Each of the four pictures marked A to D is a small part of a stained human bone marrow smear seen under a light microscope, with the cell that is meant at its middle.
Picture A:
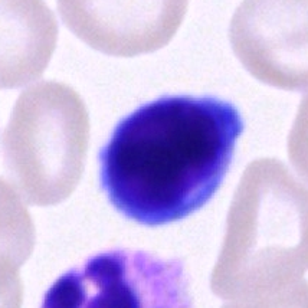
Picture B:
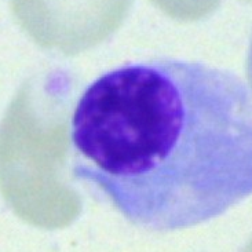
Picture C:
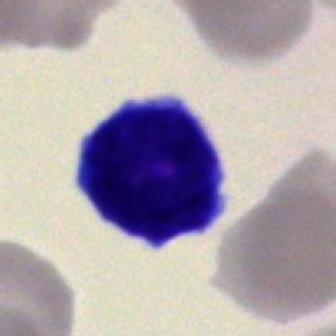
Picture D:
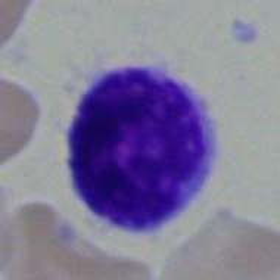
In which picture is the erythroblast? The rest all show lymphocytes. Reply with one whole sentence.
The picture with the erythroblast is B.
